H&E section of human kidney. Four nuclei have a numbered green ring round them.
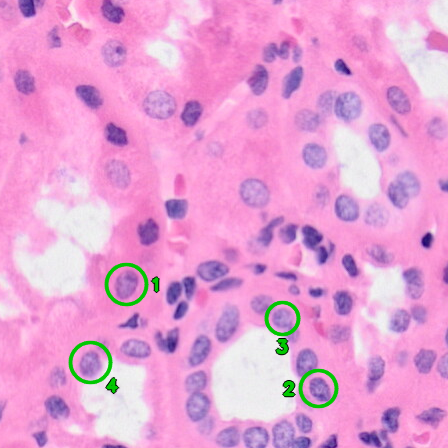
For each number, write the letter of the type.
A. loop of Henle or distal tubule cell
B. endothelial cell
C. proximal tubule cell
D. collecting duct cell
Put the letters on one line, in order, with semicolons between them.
C; D; D; A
